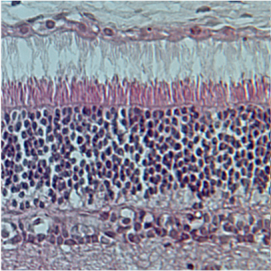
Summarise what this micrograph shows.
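This section of retina shows the same orderly layering as a normal retina. A thin retinal pigment epithelium lies at the top, above pale outer segments and a pink band of photoreceptor inner segments. A thick outer nuclear layer of densely packed, round, dark purple nuclei fills the middle. An inner nuclear layer of larger, more loosely arranged nuclei lies at the bottom beneath a thin paler band.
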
